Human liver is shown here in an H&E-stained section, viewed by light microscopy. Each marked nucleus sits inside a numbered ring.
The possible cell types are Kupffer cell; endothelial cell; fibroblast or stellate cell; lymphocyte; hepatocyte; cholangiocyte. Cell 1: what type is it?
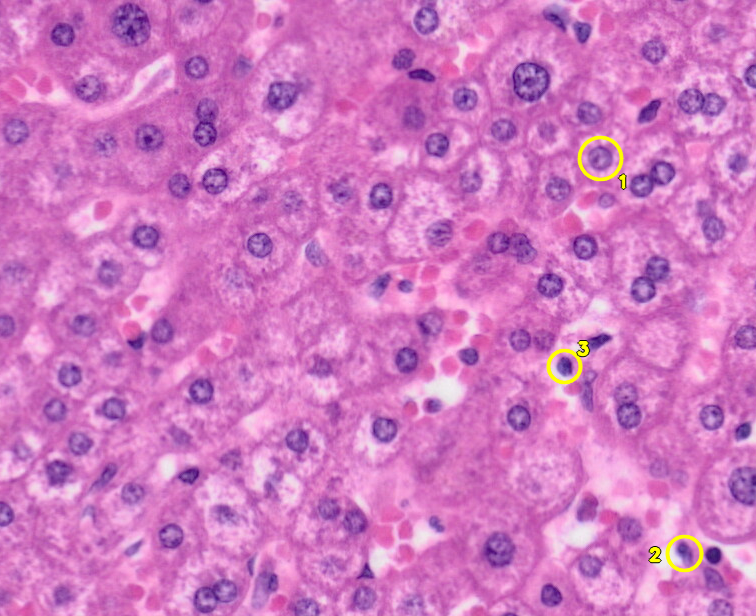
hepatocyte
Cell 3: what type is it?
lymphocyte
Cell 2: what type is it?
lymphocyte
